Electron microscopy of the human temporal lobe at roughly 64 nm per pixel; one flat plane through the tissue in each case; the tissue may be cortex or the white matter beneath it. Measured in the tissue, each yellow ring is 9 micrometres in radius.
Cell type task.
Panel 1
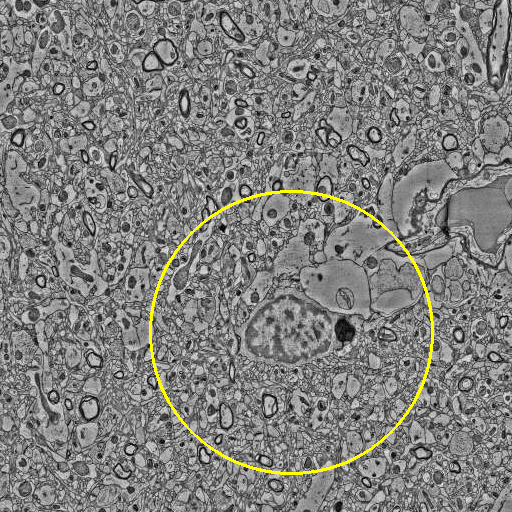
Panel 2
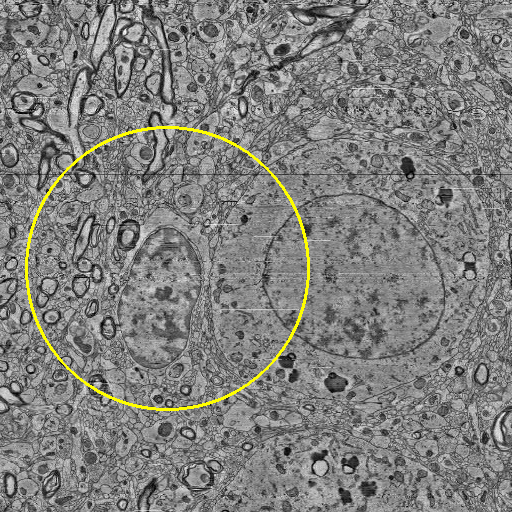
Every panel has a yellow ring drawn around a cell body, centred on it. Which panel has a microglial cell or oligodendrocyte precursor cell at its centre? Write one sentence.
It sits at the centre of the ring in Panel 2.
